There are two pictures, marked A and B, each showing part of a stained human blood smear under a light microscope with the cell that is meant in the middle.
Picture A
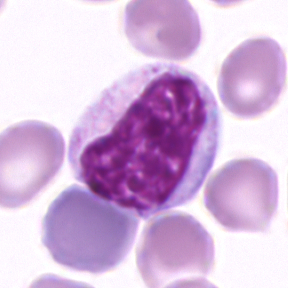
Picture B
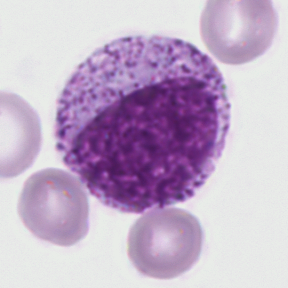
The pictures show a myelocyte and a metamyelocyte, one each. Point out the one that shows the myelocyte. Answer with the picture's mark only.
B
